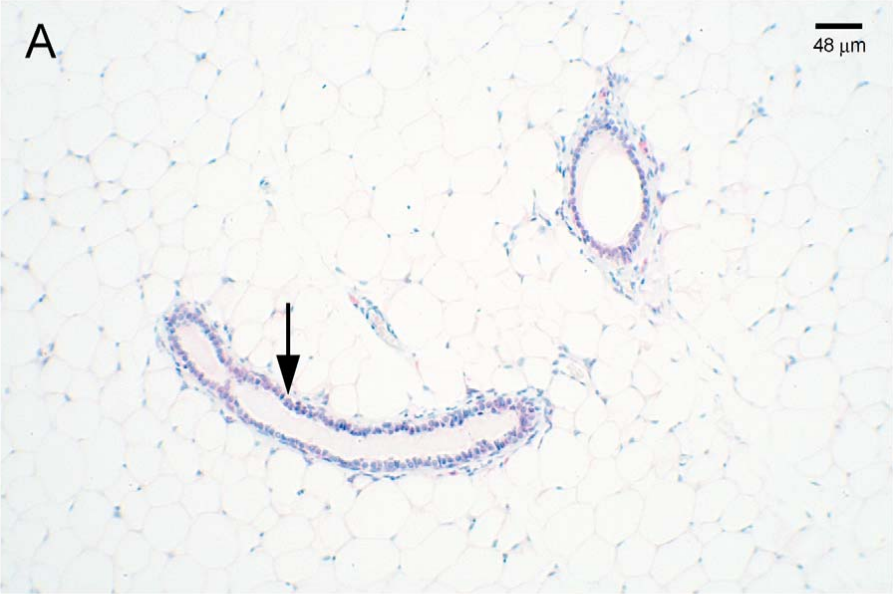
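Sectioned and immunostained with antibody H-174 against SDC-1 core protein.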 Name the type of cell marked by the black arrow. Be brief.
ductal epithelial cells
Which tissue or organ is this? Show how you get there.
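Mammary glands. Small epithelial-lined ducts lie scattered in a fat pad. Most of the field is large empty fat cells with thin walls.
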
